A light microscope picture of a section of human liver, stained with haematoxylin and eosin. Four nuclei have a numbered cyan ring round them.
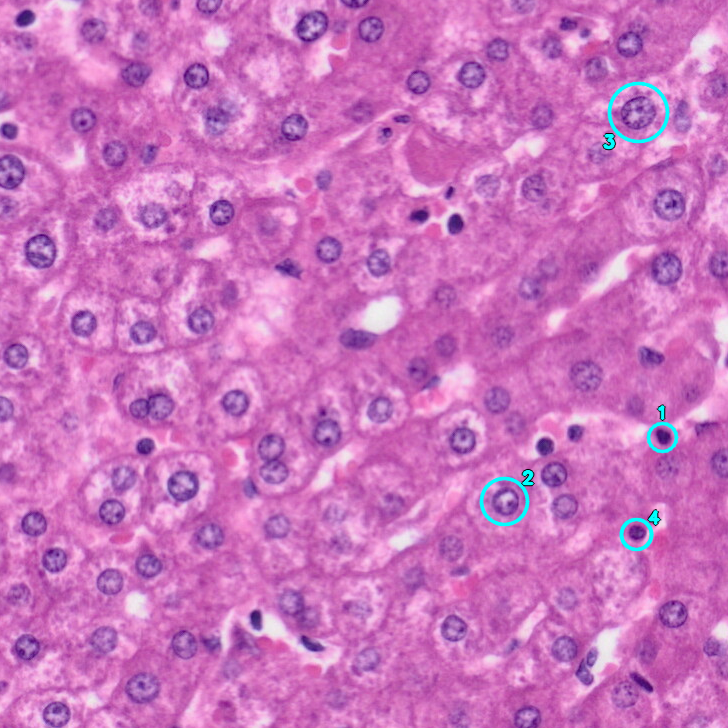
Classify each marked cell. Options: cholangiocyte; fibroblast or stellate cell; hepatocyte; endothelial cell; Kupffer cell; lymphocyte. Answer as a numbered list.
1. lymphocyte
2. hepatocyte
3. hepatocyte
4. lymphocyte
